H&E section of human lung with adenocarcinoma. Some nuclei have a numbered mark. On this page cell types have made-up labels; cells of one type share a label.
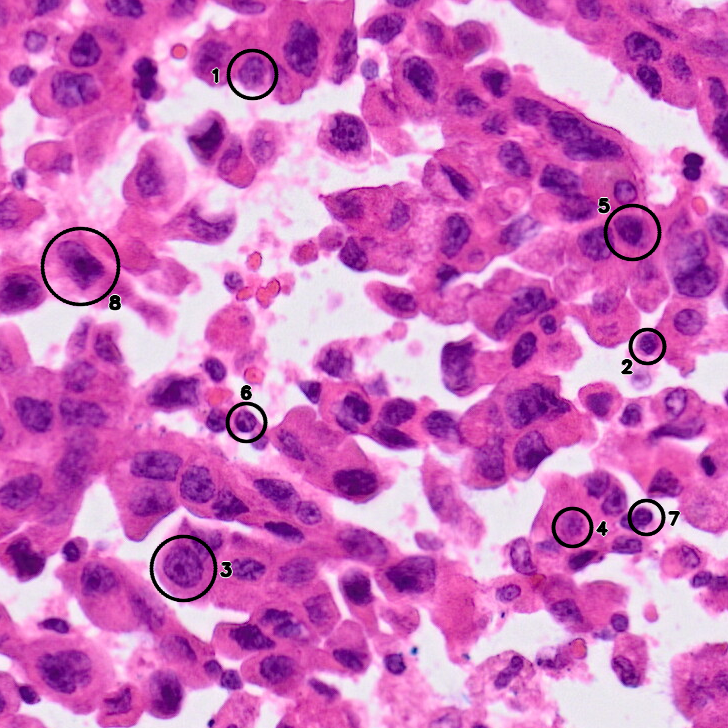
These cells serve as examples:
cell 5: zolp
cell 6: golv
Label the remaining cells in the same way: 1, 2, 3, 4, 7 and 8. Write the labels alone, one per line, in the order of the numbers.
zolp
golv
zolp
zolp
golv
zolp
